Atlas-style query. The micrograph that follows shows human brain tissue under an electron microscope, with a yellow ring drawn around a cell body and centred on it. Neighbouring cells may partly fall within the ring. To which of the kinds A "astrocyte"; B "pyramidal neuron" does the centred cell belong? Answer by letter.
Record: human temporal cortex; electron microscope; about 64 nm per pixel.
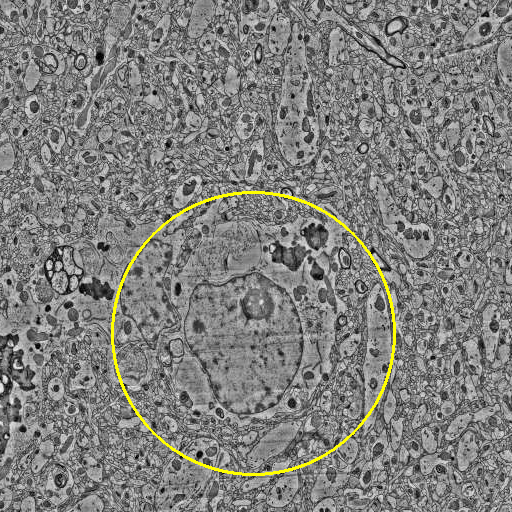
A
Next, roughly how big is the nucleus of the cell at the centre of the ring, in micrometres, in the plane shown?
Approximately 9 x 7 micrometres in this plane.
